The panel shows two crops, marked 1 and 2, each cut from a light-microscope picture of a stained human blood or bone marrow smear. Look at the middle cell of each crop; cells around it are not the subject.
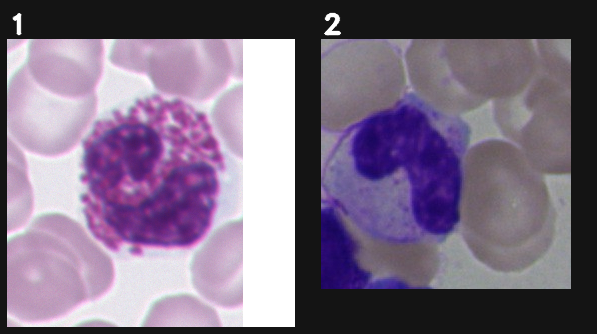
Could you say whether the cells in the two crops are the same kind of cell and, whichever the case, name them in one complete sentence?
No, just to correct that: crop 1 shows an eosinophil, crop 2 shows a band neutrophil.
